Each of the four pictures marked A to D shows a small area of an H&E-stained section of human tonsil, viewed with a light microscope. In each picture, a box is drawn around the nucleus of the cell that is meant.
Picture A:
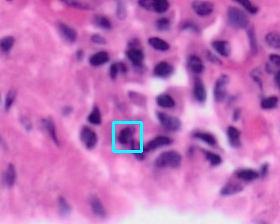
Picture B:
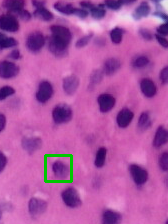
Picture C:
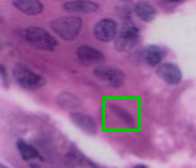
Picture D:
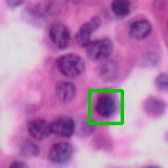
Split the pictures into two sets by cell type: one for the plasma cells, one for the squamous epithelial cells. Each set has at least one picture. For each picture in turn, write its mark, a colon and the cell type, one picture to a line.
A: plasma cell
B: squamous epithelial cell
C: squamous epithelial cell
D: plasma cell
